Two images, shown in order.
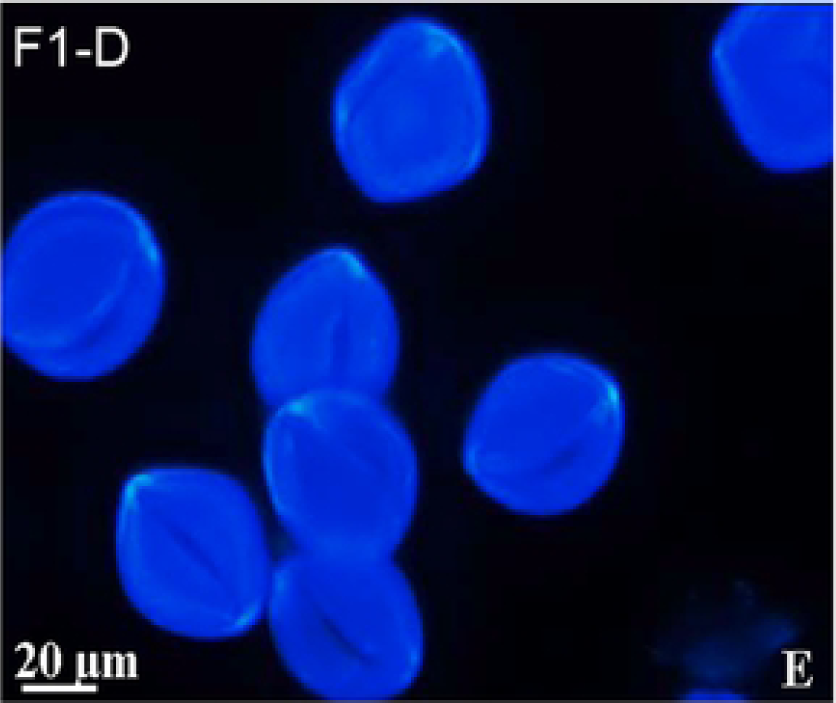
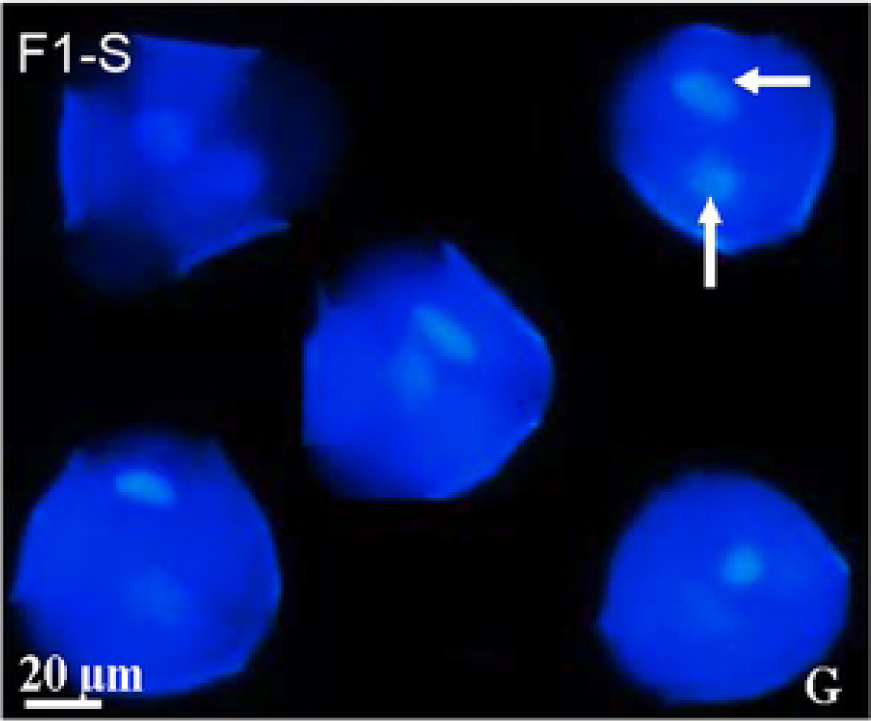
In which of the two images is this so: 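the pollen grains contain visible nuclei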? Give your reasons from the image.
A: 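First image: the grains are evenly blue with no bright nuclear spot. Second image: bright compact spots lie inside the grains. The answer: the second image.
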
